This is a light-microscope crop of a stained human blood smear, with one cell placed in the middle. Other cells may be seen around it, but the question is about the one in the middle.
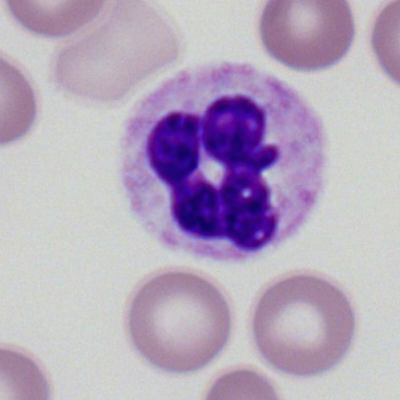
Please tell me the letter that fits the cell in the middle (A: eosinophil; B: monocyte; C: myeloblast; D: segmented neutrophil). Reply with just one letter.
D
